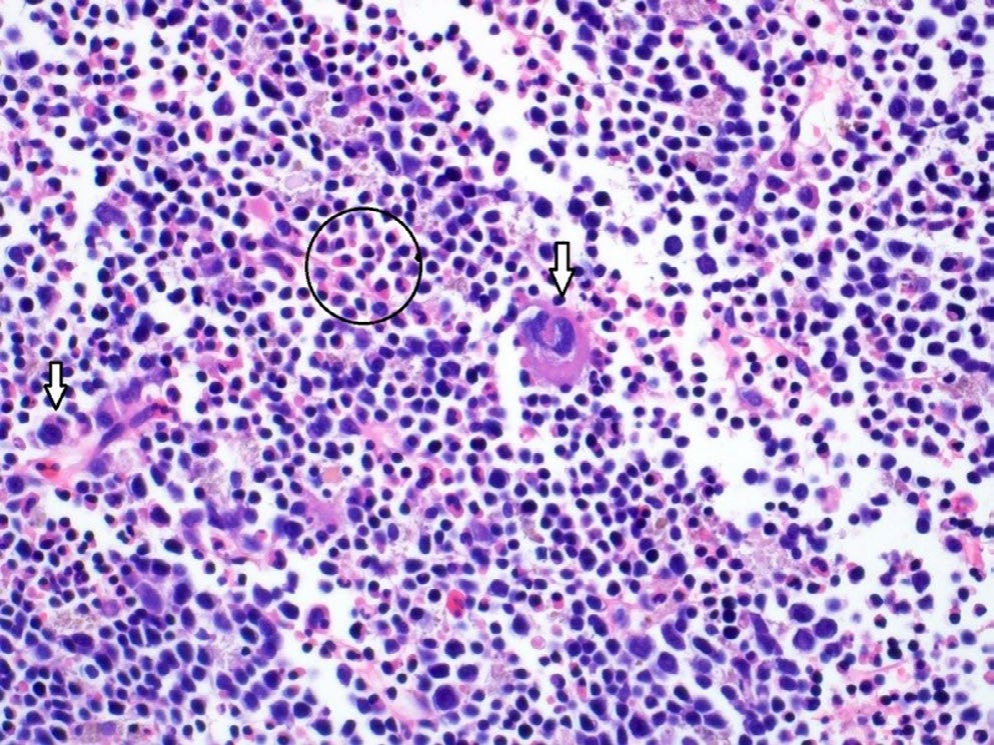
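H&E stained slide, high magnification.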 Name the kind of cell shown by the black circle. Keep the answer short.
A: myeloid and erythroid cells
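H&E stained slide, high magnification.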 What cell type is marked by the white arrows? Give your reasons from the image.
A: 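The cell under the central arrow is many times larger than the surrounding cells. It has abundant pink cytoplasm. It has a large, irregular, lobulated nucleus.
Megakaryocytes.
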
